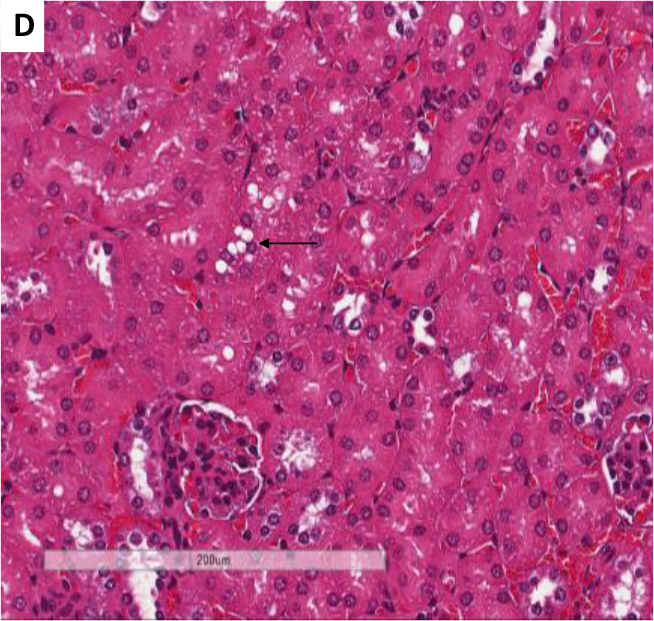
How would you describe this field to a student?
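Kidney cortex stained pink and purple shows tightly packed renal tubules with pink cytoplasm and round purple nuclei, and a glomerulus within its capsule at the lower left. Near the centre a small cluster of tiny clear round droplets sits among the tubular cells.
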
